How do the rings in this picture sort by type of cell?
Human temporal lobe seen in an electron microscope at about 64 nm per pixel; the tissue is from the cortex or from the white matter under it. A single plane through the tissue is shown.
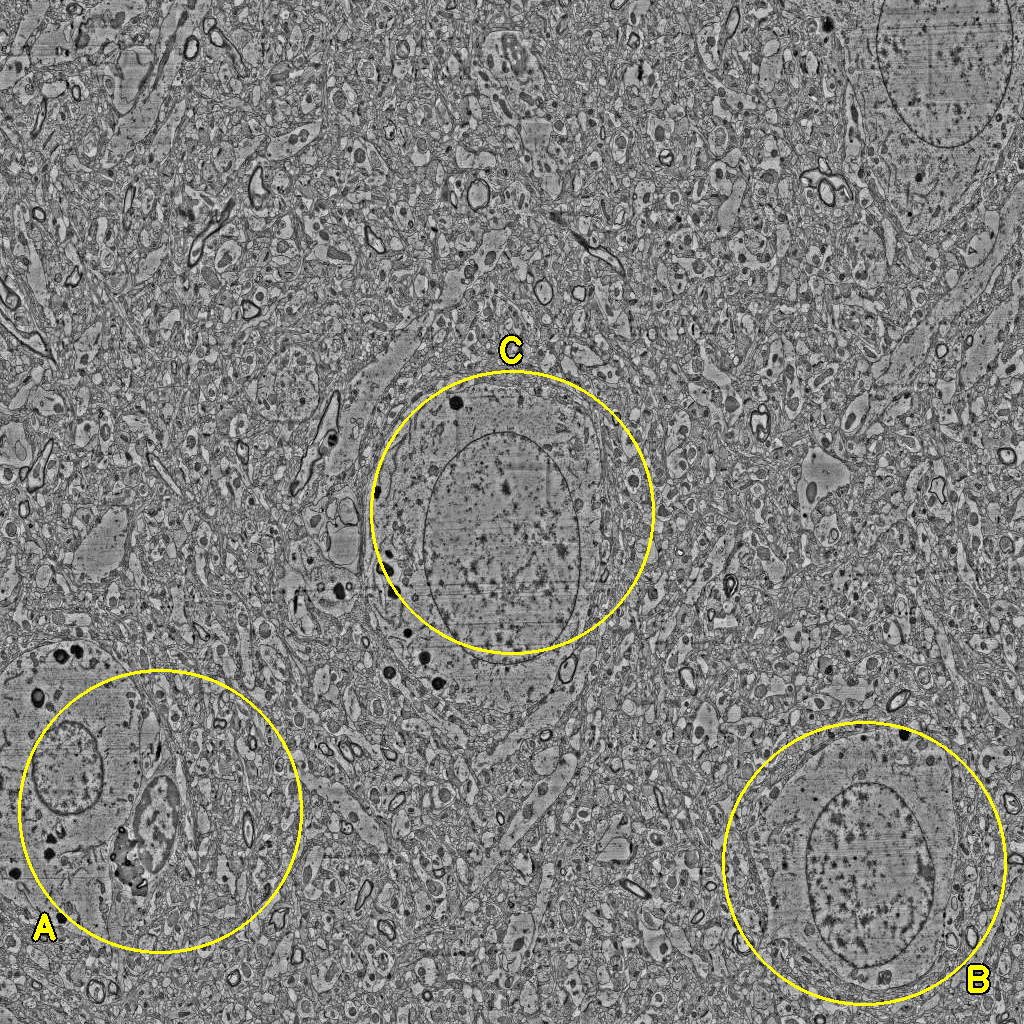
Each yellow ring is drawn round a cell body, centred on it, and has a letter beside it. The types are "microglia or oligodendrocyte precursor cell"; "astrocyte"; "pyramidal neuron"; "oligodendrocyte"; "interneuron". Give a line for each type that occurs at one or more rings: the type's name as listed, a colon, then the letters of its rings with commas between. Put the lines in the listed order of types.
microglia or oligodendrocyte precursor cell: A
pyramidal neuron: B, C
